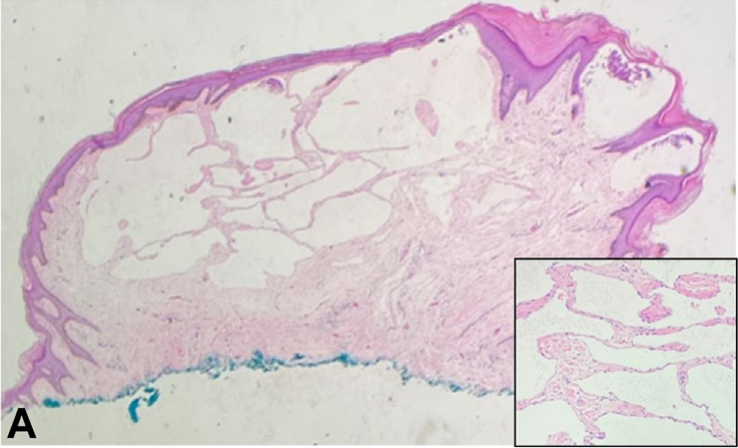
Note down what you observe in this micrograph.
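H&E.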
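This is skin stained pink and purple, and its dermis is taken up by many irregular, empty, thin-walled spaces: vascular channels that look like lymphatics. They branch and join one another in the upper and middle dermis, separated by thin pink strands of collagen. The epidermis forms a pink-purple layer over the top and dips down at the right edge. In the inset, at higher magnification, each channel is lined by a single row of thin, flat endothelial cells with small flattened nuclei, and no large or crowded nuclei stand out.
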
